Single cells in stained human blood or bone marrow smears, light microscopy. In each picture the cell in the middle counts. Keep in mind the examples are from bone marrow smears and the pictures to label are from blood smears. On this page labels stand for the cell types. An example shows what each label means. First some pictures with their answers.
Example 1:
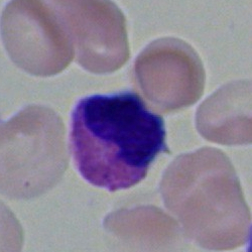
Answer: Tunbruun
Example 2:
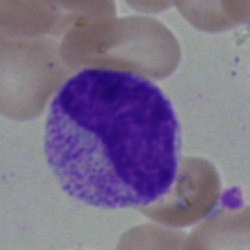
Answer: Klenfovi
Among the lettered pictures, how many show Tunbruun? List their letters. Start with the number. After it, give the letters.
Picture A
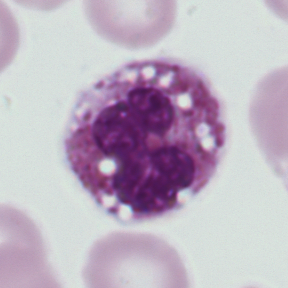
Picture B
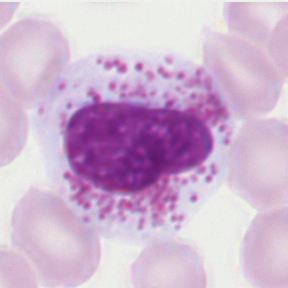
2: A, B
